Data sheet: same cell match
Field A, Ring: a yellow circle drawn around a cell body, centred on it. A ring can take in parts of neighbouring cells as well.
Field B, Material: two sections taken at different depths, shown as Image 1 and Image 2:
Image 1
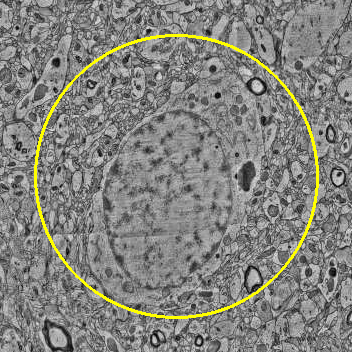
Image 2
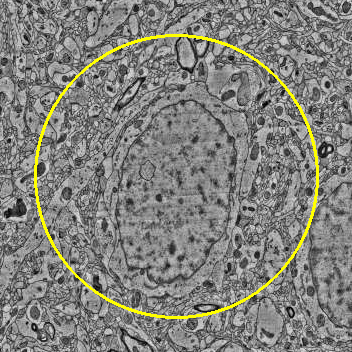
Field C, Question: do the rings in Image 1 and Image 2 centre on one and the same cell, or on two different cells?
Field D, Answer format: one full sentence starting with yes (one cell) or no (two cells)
No, two different cells appear inside the two yellow rings.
